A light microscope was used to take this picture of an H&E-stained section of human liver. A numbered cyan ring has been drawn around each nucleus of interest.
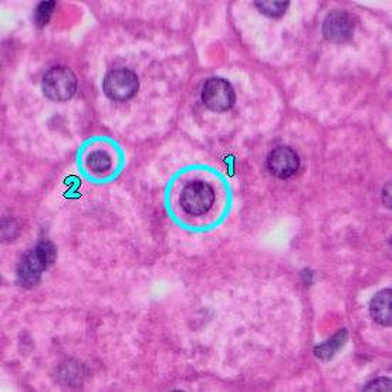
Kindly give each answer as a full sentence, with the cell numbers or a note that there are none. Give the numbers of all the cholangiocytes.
There are no cholangiocytes in the group of numbered cells.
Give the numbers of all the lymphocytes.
Only cell 2 should be marked as a lymphocyte.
